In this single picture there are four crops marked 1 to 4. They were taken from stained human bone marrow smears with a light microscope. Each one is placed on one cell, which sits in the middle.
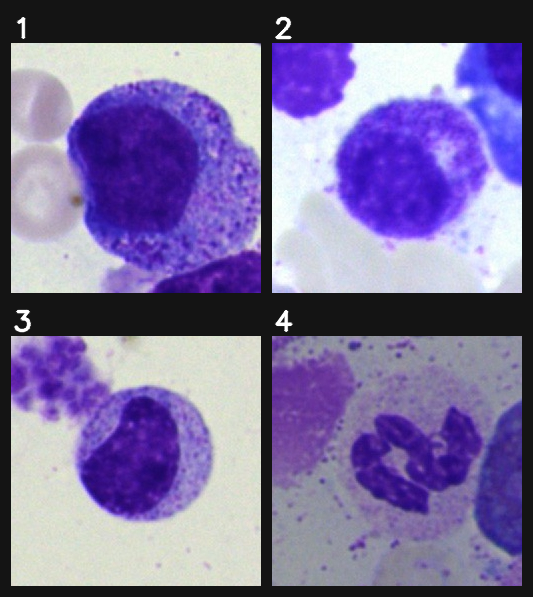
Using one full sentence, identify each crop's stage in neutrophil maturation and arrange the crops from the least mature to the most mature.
From lowest to highest maturity, the crops run crop 1 (a promyelocyte), crop 2 (a myelocyte), crop 3 (a metamyelocyte) and crop 4 (a segmented neutrophil).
